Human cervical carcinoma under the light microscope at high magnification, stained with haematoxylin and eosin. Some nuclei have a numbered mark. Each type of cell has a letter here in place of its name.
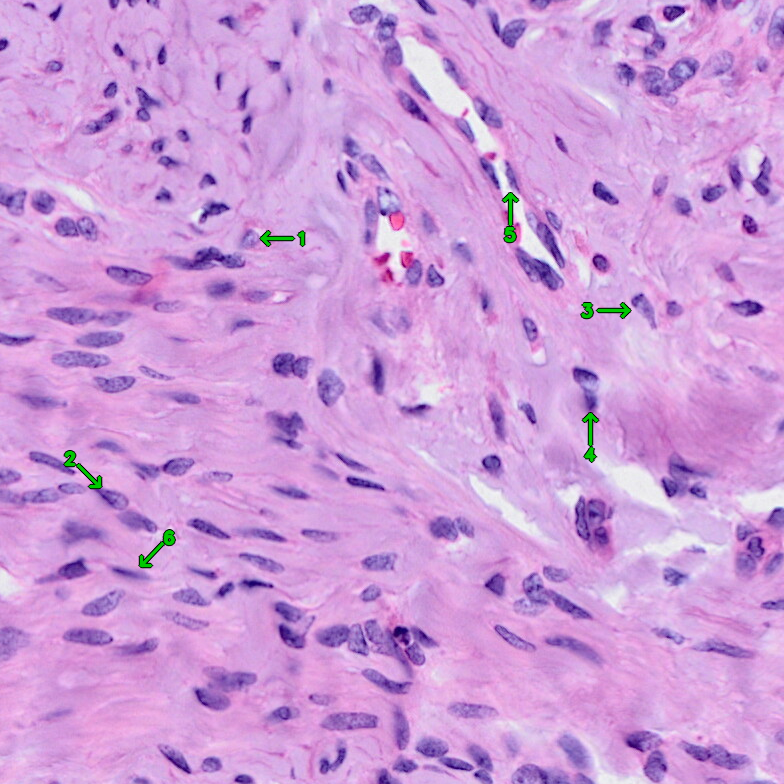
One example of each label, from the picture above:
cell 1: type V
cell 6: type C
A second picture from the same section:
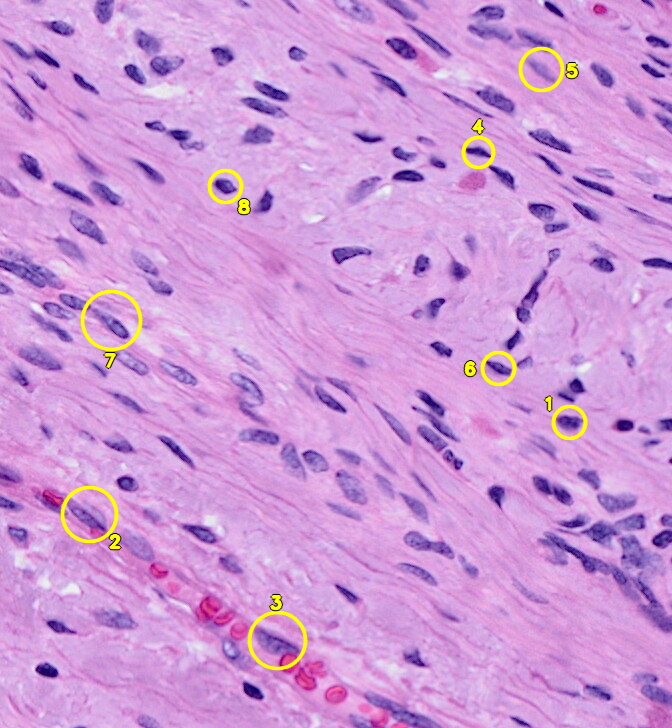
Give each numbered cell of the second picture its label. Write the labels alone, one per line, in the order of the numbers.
type C
type V
type V
type C
type C
type C
type V
type C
